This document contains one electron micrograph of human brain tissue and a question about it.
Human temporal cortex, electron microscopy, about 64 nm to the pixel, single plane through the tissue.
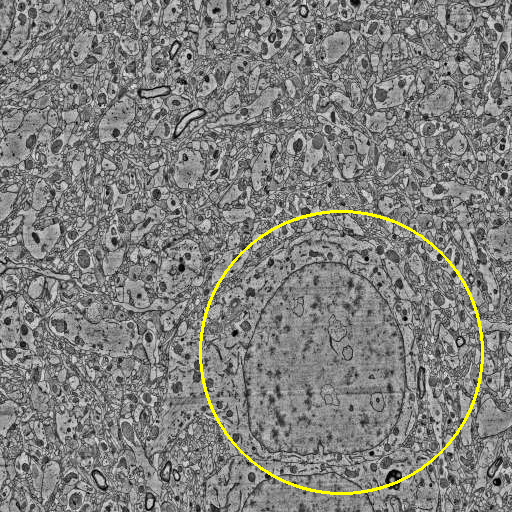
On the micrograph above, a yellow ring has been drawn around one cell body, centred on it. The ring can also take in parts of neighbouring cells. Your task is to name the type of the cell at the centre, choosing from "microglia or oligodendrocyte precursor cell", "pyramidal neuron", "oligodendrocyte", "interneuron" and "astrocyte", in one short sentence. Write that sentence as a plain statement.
Here the ring is centred on a pyramidal neuron.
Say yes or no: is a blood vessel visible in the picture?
No, a blood vessel is absent from this picture.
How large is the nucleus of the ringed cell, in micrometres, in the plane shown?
The nucleus has a long axis of about 13 micrometres and a short axis of about 11 micrometres in this plane.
